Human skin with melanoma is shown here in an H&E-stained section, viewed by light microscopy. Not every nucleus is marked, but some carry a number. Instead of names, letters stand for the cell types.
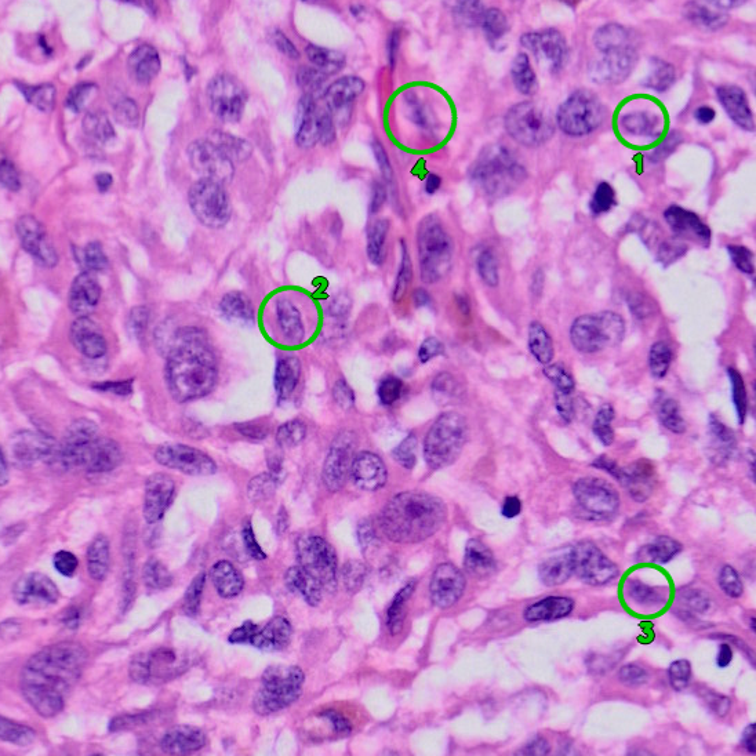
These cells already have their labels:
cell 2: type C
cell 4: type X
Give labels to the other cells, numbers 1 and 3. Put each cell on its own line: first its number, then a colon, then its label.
1: type C
3: type C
